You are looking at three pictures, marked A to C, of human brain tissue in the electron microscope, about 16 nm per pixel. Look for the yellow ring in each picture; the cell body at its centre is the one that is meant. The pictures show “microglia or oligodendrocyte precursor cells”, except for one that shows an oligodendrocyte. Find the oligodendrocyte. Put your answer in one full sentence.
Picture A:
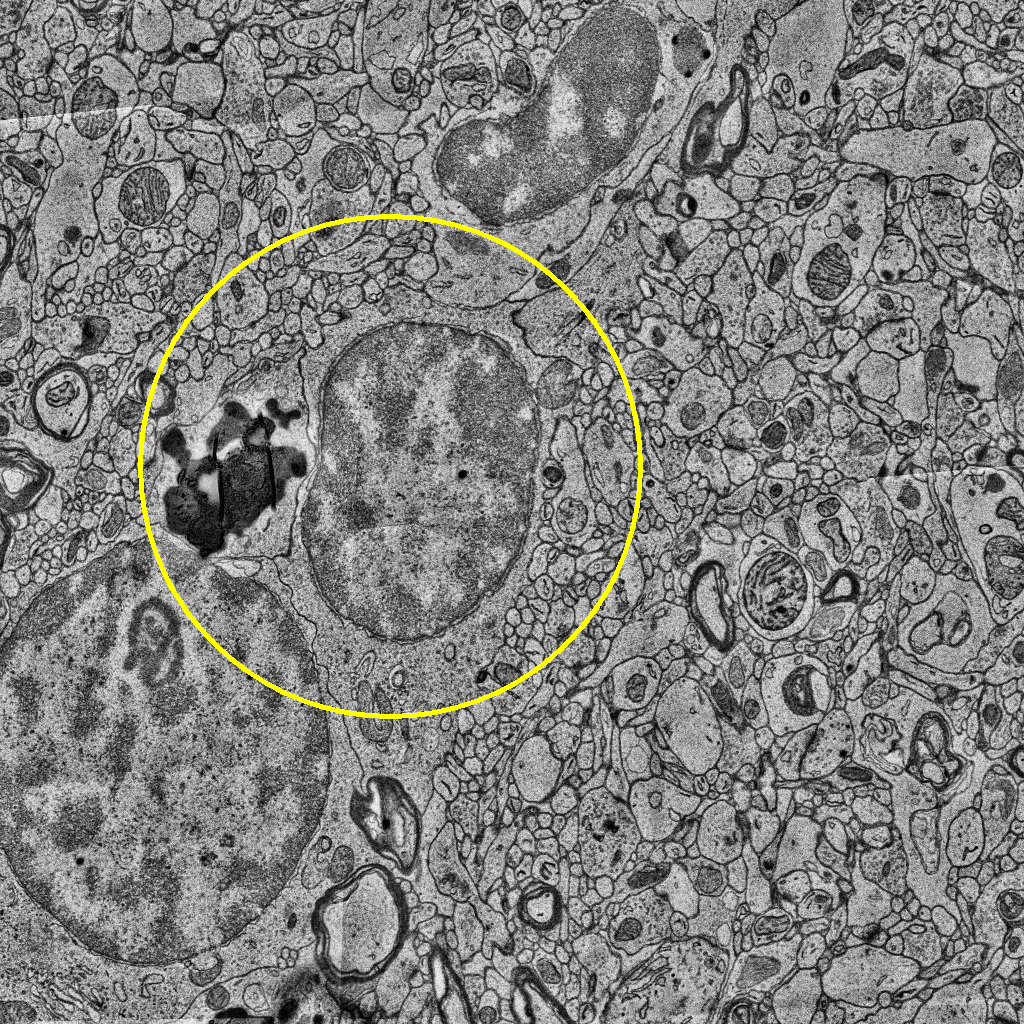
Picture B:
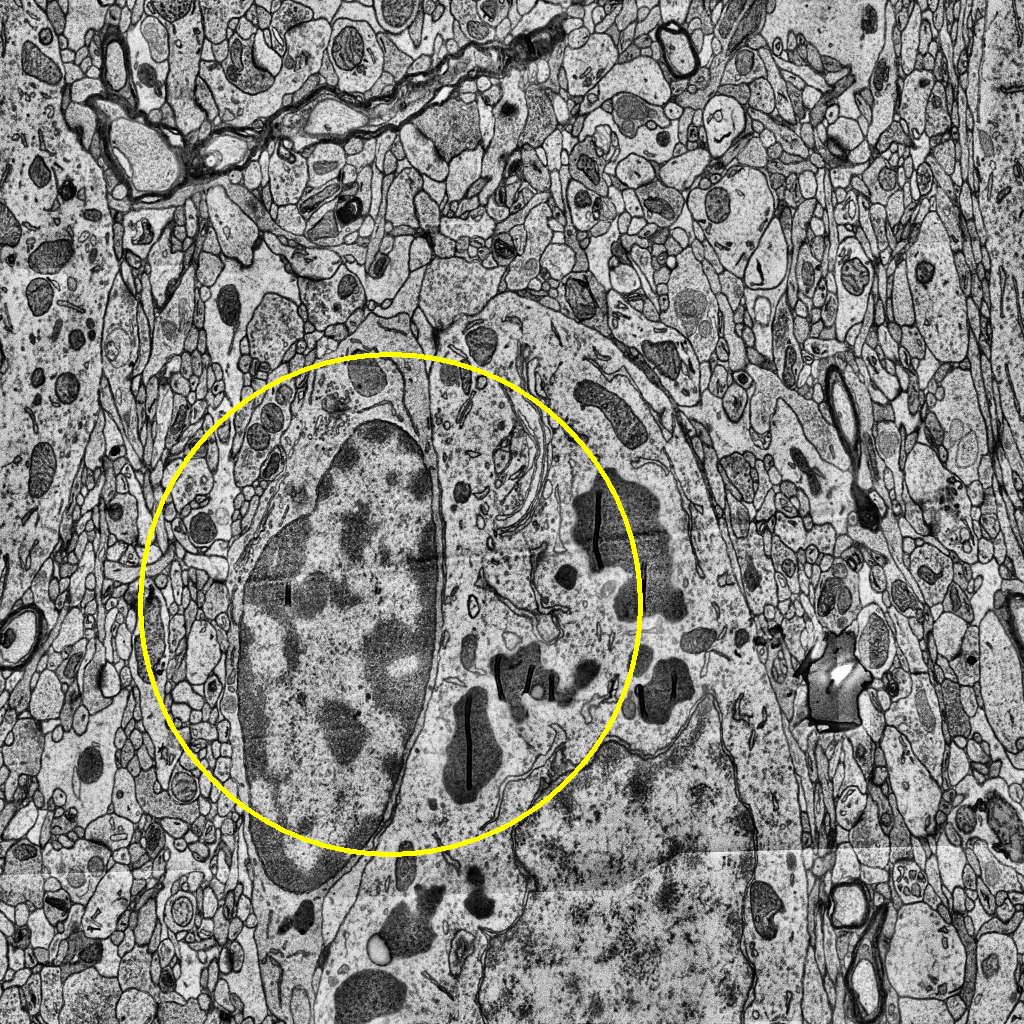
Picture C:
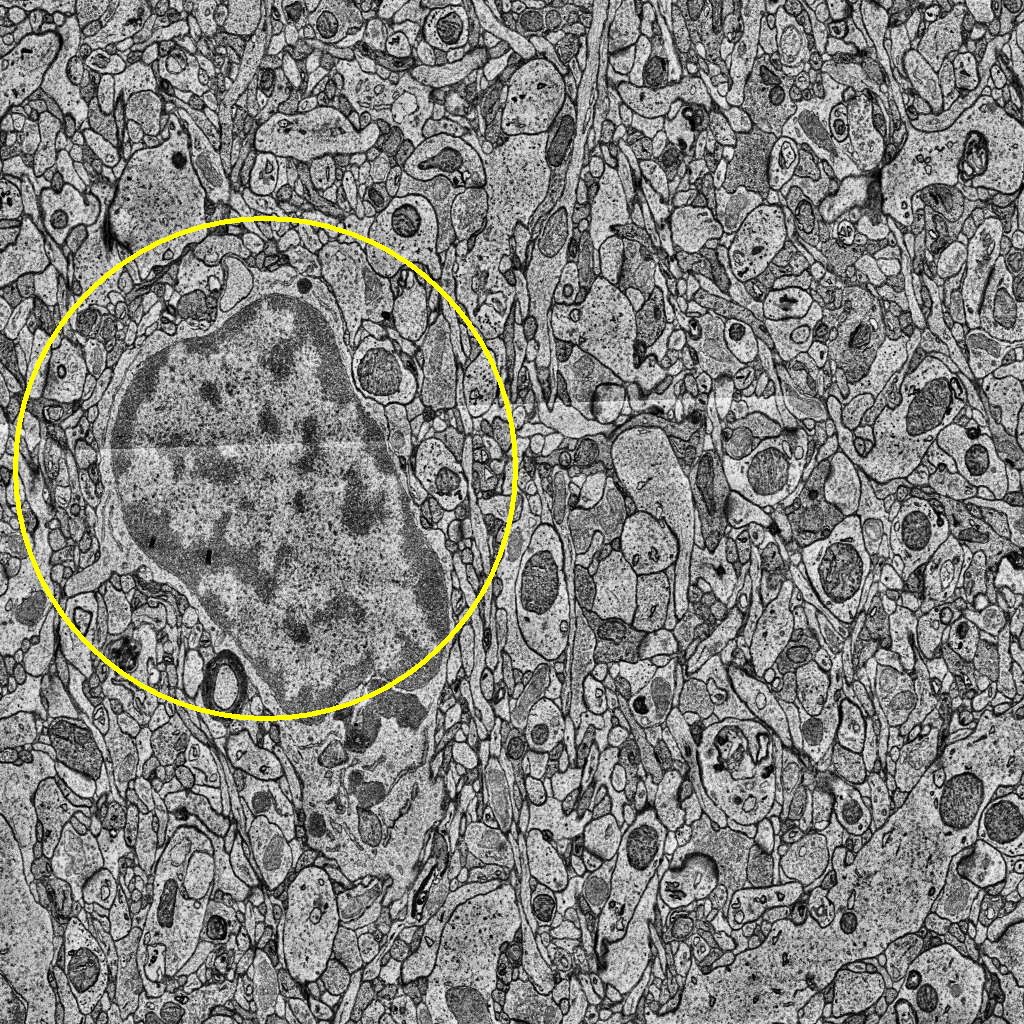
Picture A is the one that shows the oligodendrocyte.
